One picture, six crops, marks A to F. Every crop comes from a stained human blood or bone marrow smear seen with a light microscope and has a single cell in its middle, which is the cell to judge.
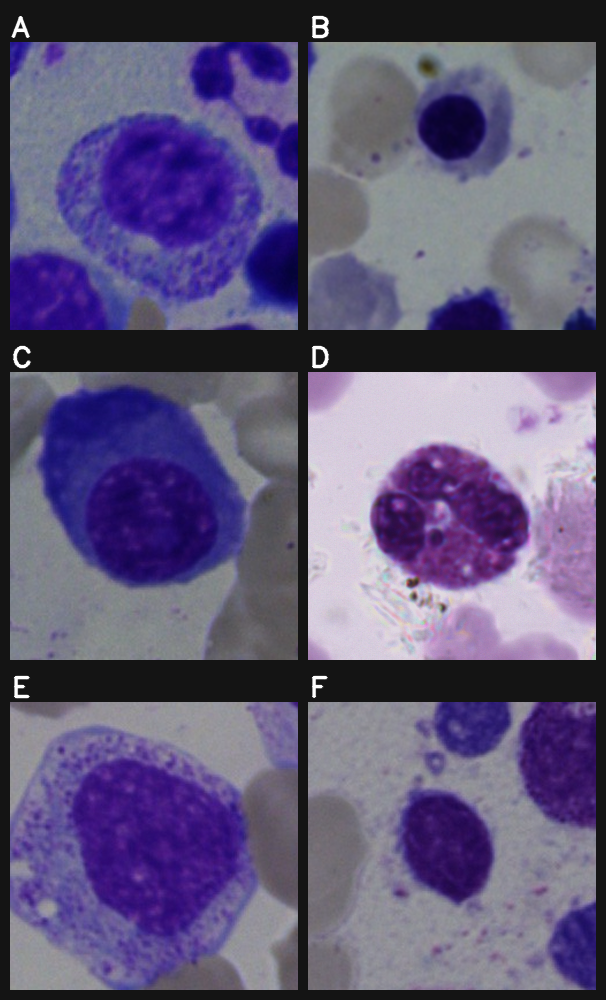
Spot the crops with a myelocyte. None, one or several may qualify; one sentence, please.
Classified as myelocytes are the central cells of crops A and E.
